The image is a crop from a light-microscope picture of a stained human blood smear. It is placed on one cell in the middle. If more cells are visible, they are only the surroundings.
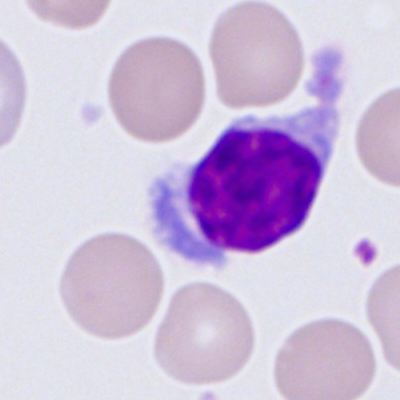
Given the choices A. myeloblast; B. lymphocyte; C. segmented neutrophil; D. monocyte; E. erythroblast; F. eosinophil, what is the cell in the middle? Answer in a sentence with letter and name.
The correct option, B, names the middle cell as a lymphocyte.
